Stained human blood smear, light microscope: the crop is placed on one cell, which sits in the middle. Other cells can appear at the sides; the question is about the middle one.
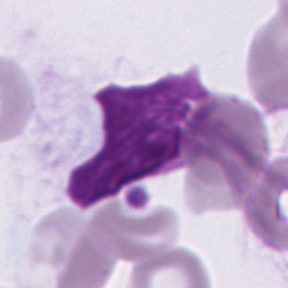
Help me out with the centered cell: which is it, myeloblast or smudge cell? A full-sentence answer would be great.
The target cell in the middle of the crop is a smudge cell.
